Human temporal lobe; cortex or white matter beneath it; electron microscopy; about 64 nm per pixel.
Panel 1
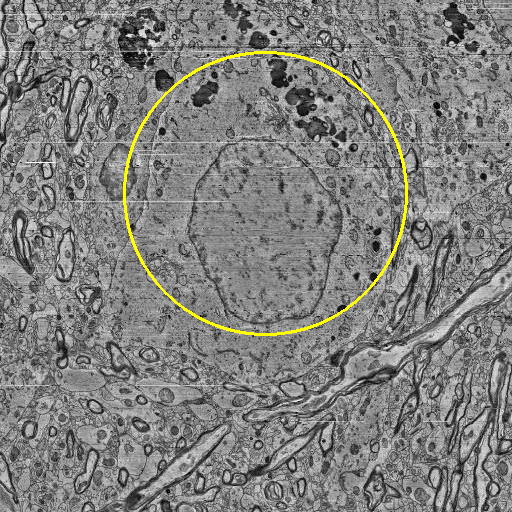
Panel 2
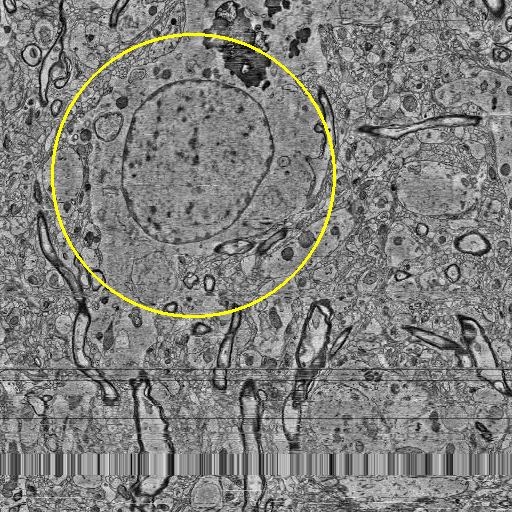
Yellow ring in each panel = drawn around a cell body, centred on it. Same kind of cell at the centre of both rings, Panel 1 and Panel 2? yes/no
no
